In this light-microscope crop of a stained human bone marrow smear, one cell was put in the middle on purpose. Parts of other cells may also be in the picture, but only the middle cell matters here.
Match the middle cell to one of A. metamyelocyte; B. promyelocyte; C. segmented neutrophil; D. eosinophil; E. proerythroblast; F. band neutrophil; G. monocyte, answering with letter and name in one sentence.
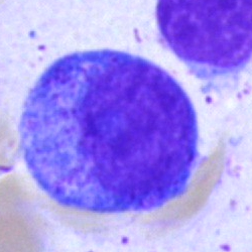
Option B is correct here, and the cell in the middle is a promyelocyte.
